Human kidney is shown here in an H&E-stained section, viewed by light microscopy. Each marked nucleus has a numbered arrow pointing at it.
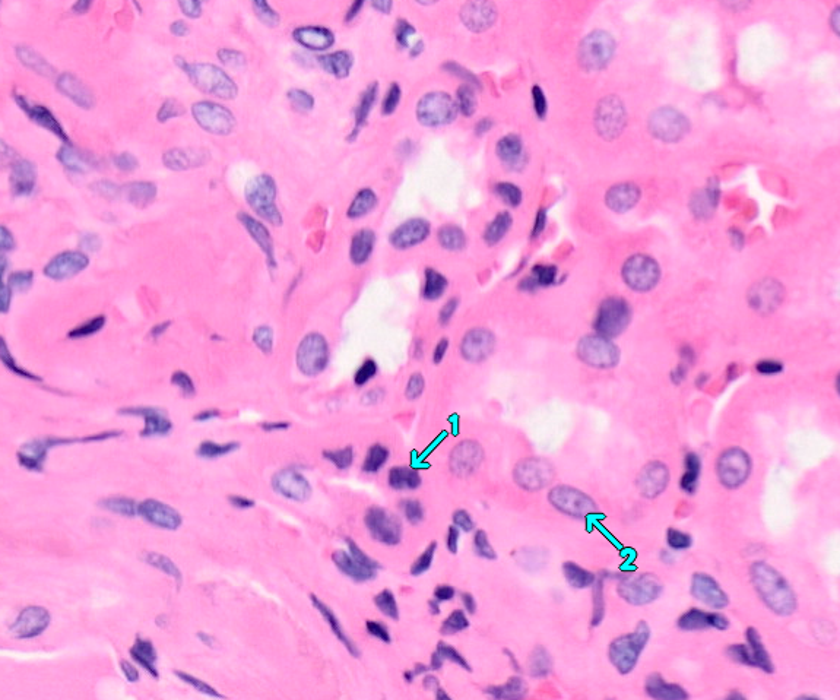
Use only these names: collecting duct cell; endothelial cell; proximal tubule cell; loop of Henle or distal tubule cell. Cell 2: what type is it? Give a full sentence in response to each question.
Identified by the number 2, the cell is a proximal tubule cell.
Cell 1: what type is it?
The nucleus with number 1 is that of a collecting duct cell.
